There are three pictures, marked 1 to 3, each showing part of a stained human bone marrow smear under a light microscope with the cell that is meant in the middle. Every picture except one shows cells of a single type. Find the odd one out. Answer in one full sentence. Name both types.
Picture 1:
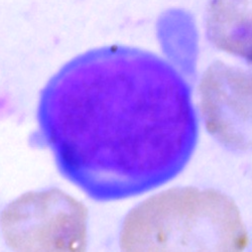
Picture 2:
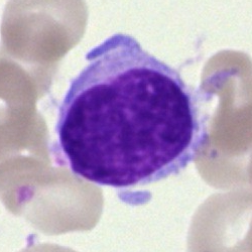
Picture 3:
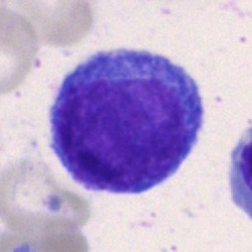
Picture 2 differs, because its cell is a hairy cell and the rest are blasts.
